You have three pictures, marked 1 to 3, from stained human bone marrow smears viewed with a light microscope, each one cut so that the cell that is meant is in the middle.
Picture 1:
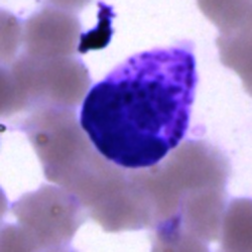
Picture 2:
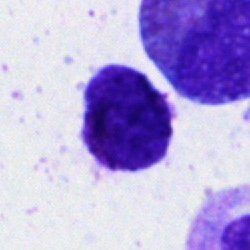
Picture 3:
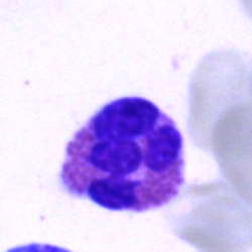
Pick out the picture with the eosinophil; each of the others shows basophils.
3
